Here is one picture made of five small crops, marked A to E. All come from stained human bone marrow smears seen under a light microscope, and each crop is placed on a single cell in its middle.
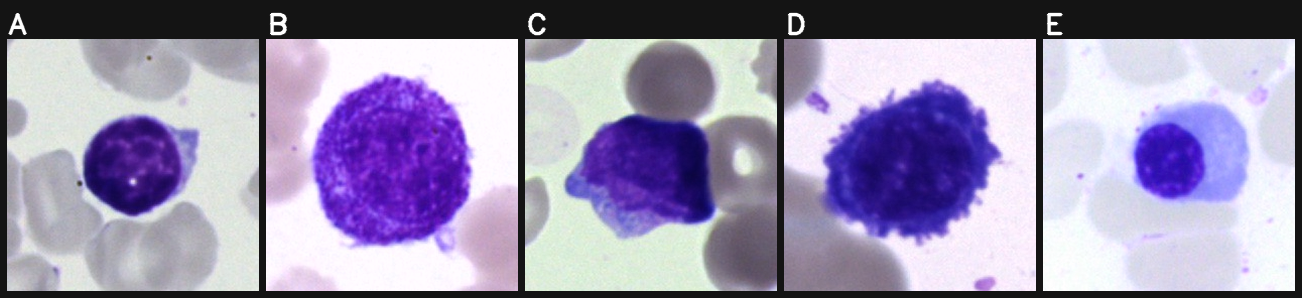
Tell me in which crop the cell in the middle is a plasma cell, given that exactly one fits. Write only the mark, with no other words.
D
